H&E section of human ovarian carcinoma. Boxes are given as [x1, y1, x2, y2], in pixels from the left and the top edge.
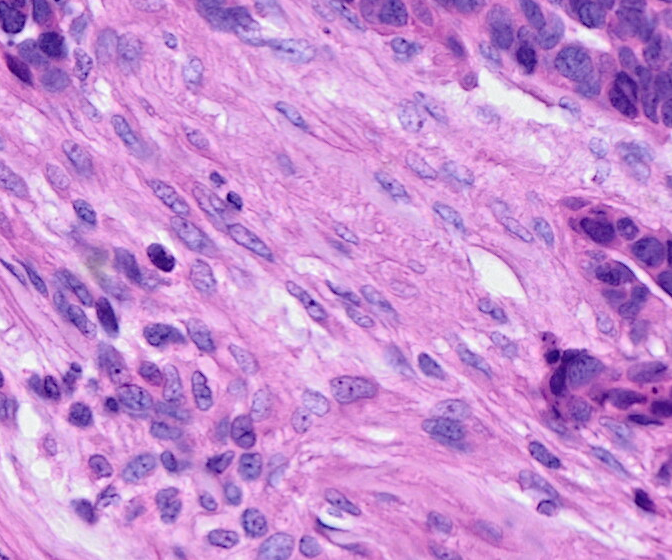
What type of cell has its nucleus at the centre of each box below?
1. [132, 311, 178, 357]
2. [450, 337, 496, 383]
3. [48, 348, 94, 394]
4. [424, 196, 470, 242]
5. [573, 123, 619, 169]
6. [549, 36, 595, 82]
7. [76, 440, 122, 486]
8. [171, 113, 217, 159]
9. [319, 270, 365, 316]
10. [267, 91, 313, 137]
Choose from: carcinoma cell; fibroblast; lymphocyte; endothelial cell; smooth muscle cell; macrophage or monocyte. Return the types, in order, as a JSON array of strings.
["macrophage or monocyte", "fibroblast", "macrophage or monocyte", "fibroblast", "fibroblast", "carcinoma cell", "macrophage or monocyte", "fibroblast", "fibroblast", "fibroblast"]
